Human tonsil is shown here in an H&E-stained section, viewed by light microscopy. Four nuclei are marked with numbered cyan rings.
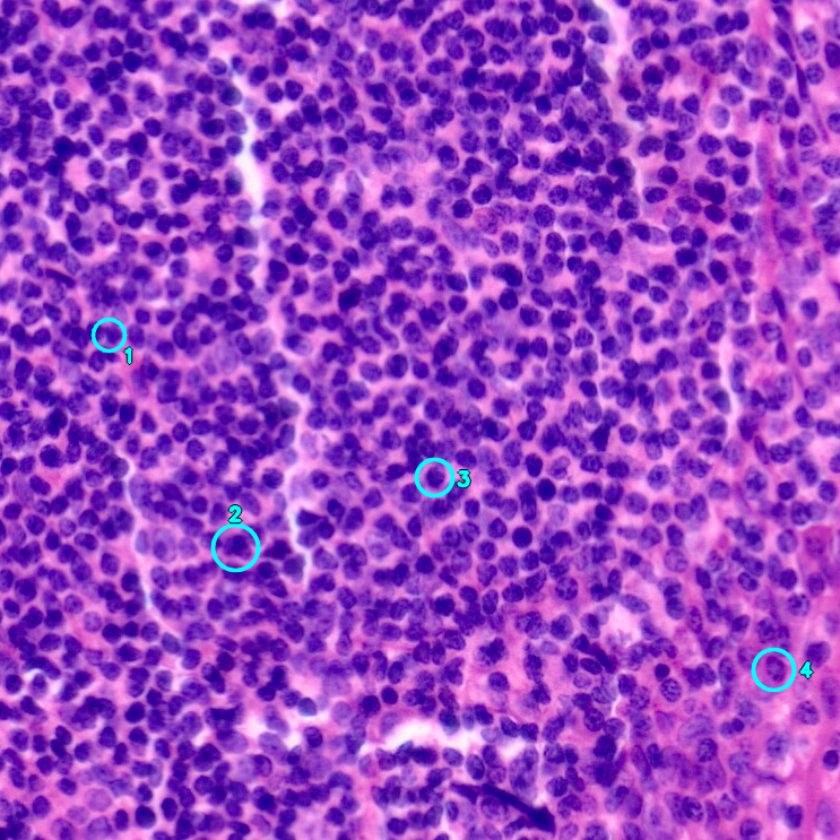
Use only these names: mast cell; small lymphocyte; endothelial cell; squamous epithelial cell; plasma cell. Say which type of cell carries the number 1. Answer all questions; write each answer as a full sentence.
The cell identified by number 1 is a small lymphocyte.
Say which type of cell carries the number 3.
In this section, number 3 marks a small lymphocyte.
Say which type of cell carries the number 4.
The numbered cell 4 is identified here as a plasma cell.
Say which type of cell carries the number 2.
Cell 2 is classified as a small lymphocyte.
